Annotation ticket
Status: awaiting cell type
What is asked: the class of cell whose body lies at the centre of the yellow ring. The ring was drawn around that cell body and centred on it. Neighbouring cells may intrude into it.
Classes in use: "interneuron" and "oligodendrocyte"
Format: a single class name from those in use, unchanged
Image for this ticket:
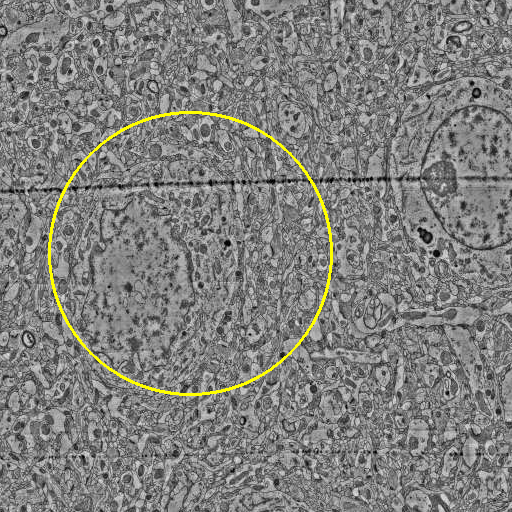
interneuron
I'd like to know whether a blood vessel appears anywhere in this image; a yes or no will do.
No.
